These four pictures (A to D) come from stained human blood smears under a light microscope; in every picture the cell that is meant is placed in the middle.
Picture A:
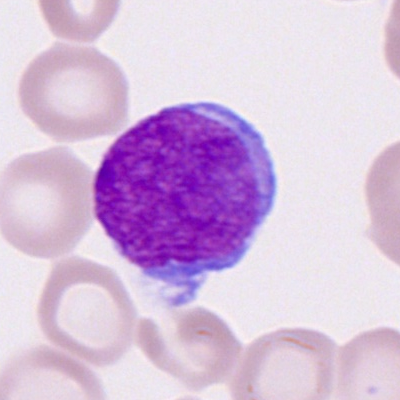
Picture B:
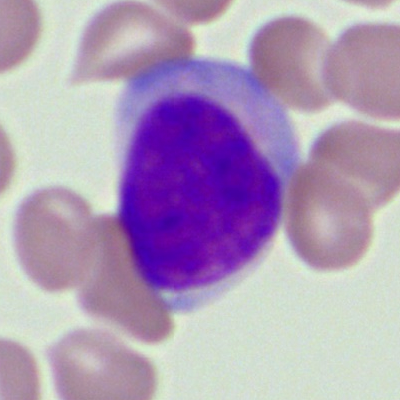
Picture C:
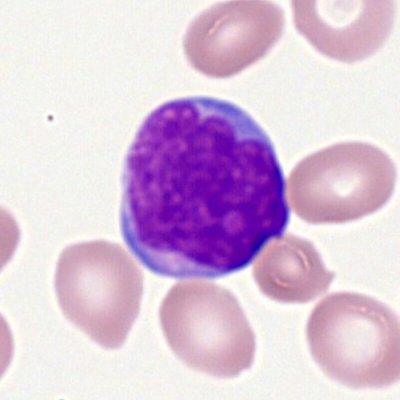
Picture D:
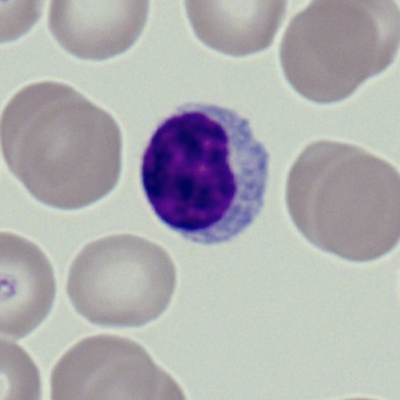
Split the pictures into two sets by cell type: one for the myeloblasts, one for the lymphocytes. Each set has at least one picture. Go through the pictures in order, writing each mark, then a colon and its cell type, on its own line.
A: myeloblast
B: myeloblast
C: myeloblast
D: lymphocyte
